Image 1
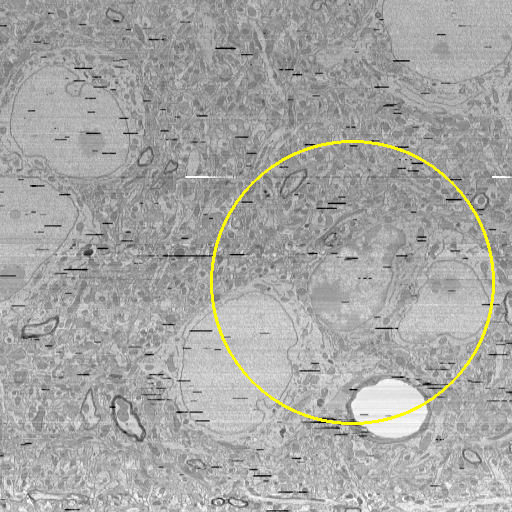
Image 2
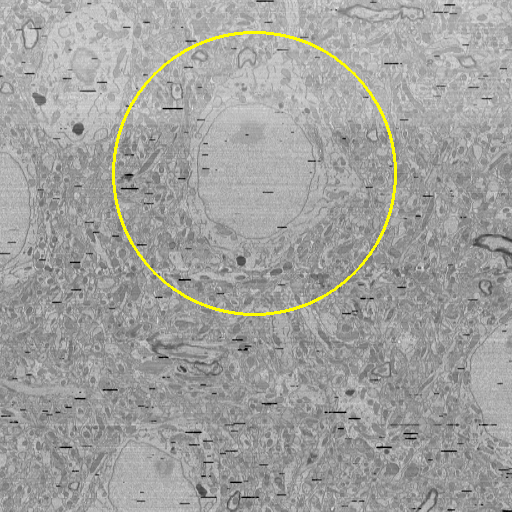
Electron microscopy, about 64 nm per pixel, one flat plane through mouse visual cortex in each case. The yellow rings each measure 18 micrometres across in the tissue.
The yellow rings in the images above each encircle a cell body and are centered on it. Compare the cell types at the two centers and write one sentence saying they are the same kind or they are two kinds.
Taken together, the two cells at the ring centers are two kinds.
